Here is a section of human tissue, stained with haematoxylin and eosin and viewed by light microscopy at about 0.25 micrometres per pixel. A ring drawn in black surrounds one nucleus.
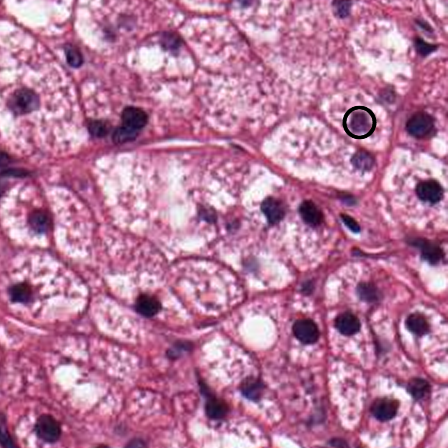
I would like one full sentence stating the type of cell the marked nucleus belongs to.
Within the picture, the marked nucleus belongs to an adrenal cortical cell.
